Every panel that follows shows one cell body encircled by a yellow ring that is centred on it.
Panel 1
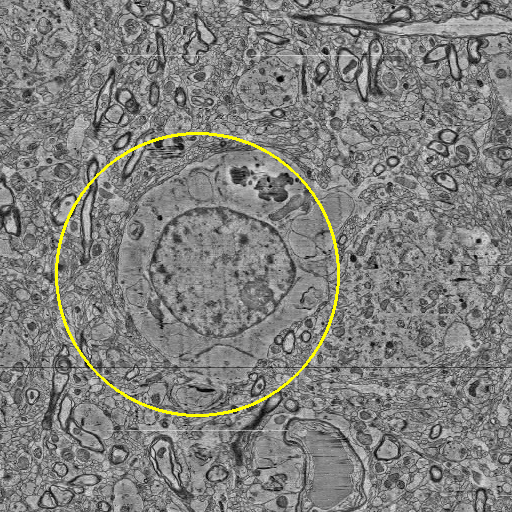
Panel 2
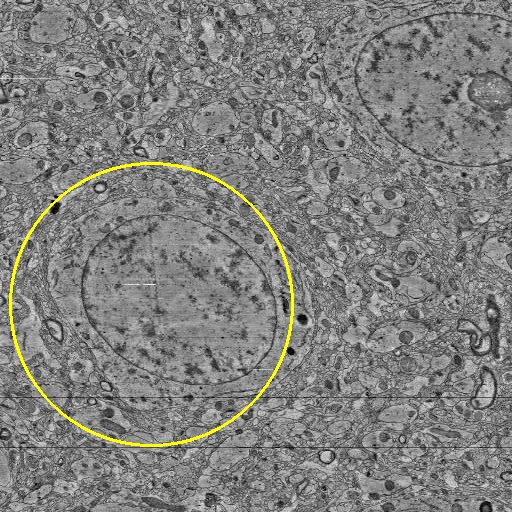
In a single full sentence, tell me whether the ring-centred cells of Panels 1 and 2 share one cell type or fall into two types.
In Panel 1 and Panel 2, the cells at the ring centres fall into two types.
